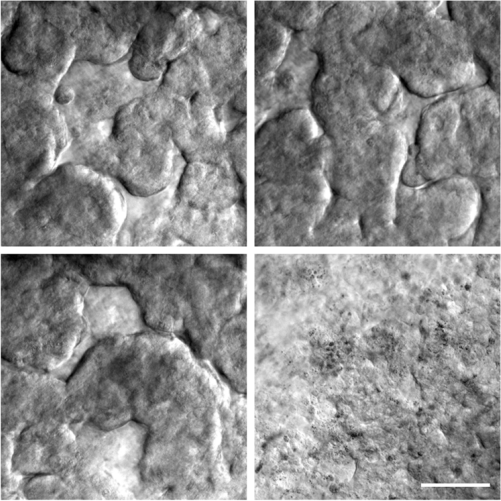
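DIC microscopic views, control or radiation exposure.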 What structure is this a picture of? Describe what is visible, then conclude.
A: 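The projections are separated by clefts.
Conclusion: villus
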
